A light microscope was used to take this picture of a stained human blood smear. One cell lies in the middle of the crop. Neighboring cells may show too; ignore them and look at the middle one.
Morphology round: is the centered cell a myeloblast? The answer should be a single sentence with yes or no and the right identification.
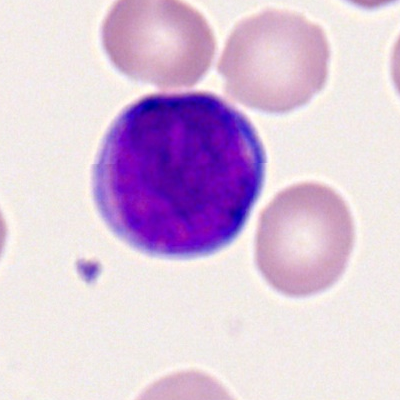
Yes, the cell at the center of the crop is a myeloblast.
